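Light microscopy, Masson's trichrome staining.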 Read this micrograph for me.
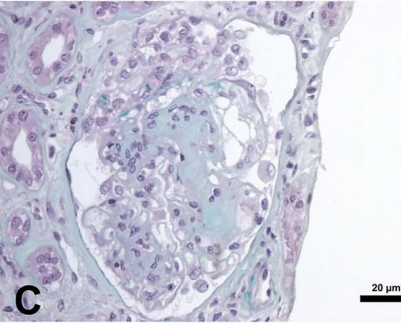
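This is a single glomerulus in which most of the tuft has been replaced by pale blue-green matrix, leaving only a few open capillary loops. Crowded, enlarged cells with round nuclei and pale cytoplasm cover the surface of the scarred tuft. Some of these cells lie loose in the space between the tuft and the capsule.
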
